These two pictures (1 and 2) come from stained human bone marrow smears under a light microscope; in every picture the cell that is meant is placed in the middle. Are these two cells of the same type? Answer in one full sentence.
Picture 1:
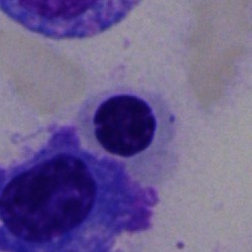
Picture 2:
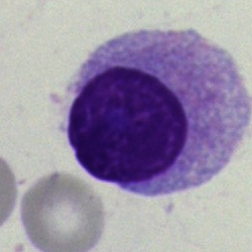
No. Picture 1 shows an erythroblast, but picture 2 shows a plasma cell.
